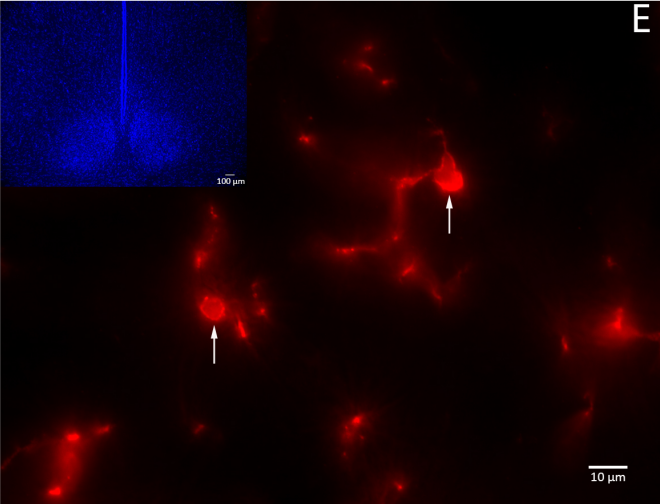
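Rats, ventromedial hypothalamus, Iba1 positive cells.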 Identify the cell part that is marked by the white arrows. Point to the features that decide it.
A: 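Each arrow points to a rounded, brighter red swelling. Thin red processes extend from these swellings.
Cell bodies.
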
